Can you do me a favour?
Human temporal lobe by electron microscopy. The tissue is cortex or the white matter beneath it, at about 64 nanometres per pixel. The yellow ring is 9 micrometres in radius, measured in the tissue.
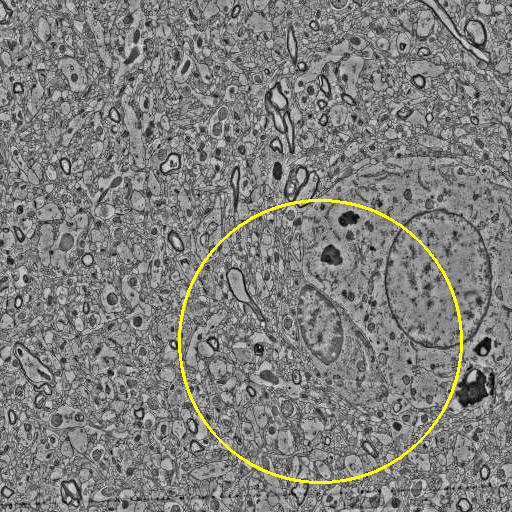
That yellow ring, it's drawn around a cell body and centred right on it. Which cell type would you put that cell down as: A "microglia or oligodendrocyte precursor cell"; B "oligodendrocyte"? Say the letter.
B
